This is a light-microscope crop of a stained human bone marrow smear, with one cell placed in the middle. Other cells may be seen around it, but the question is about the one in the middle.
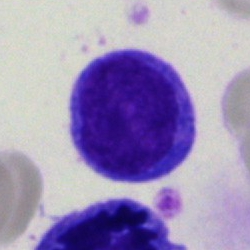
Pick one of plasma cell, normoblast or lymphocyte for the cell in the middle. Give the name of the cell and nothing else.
lymphocyte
